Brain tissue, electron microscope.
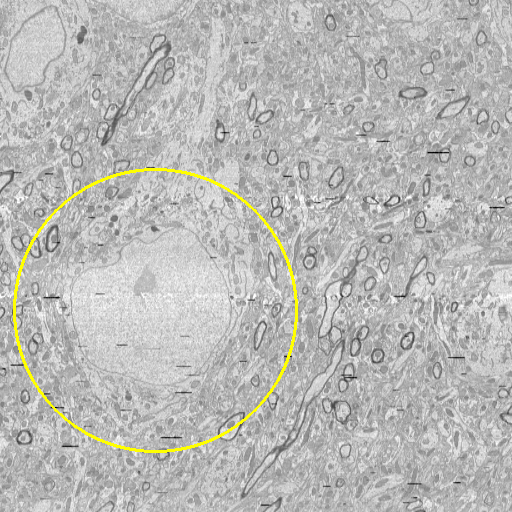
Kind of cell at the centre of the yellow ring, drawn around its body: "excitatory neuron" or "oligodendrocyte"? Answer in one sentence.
The ring's centre falls on an excitatory neuron.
